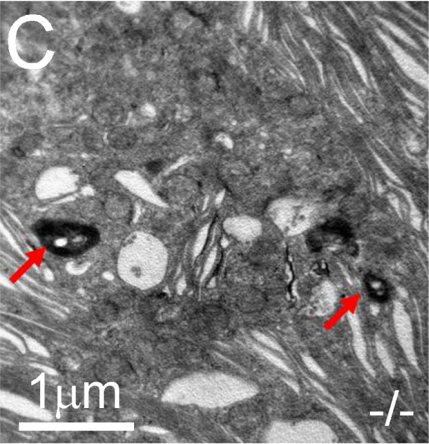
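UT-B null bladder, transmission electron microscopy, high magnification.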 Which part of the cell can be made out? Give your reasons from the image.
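Discoidal or fusiform-shaped vesicles. Many elongated, spindle-shaped pale vesicles lie in the cytoplasm. Some pale vesicles appear rounded or disc-like.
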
